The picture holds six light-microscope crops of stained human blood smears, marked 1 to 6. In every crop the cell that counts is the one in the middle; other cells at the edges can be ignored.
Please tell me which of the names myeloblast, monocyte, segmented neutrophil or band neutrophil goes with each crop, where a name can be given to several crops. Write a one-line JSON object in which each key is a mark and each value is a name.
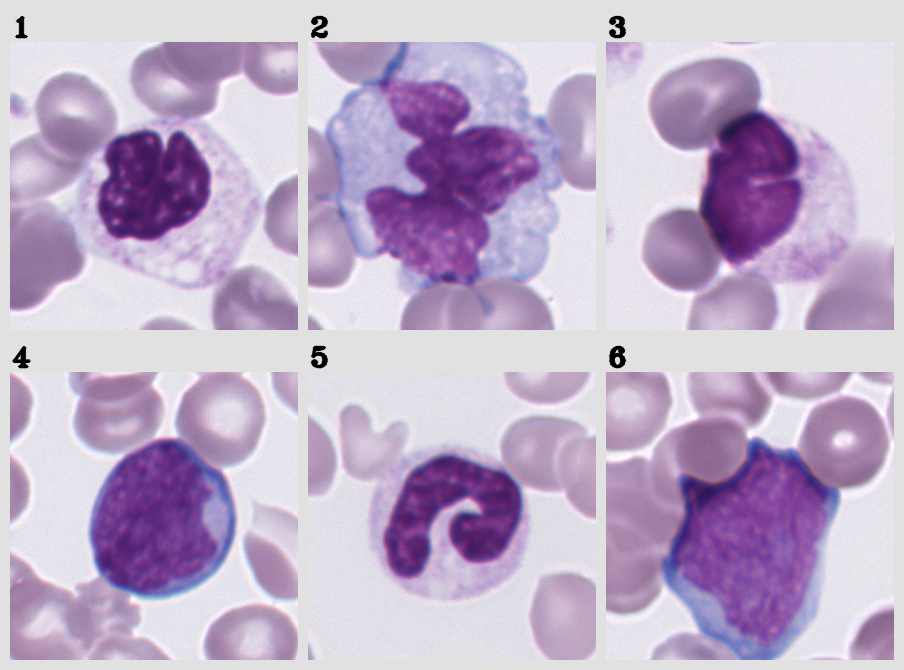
{"1": "band neutrophil", "2": "monocyte", "3": "band neutrophil", "4": "myeloblast", "5": "segmented neutrophil", "6": "myeloblast"}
